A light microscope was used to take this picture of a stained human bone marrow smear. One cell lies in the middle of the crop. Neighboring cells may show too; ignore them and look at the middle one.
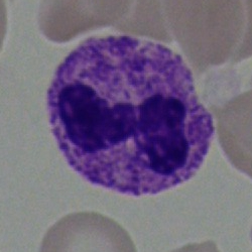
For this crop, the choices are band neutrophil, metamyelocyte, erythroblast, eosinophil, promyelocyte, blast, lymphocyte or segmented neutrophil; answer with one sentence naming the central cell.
As for the central cell, it is a segmented neutrophil.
